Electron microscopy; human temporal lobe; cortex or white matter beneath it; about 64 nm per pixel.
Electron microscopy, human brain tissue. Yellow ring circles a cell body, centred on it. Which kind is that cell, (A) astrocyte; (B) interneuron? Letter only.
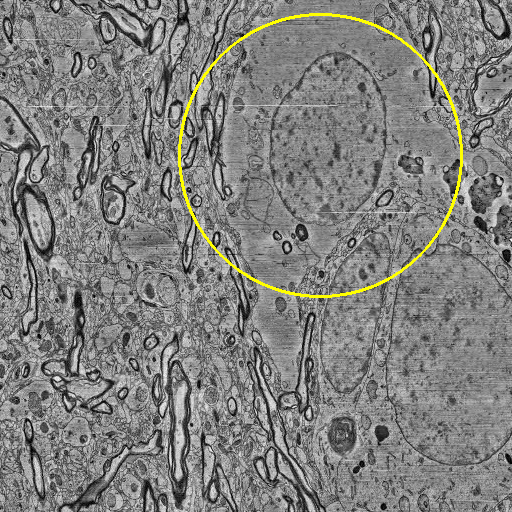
A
